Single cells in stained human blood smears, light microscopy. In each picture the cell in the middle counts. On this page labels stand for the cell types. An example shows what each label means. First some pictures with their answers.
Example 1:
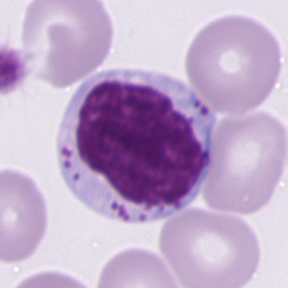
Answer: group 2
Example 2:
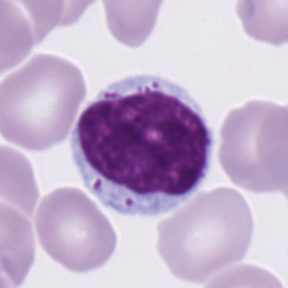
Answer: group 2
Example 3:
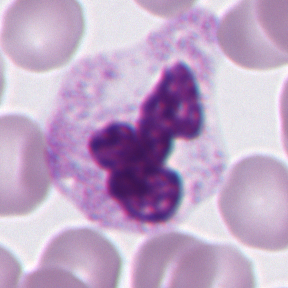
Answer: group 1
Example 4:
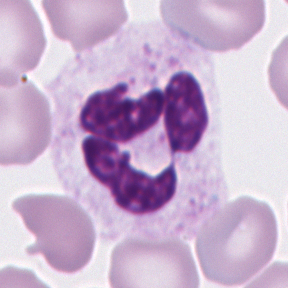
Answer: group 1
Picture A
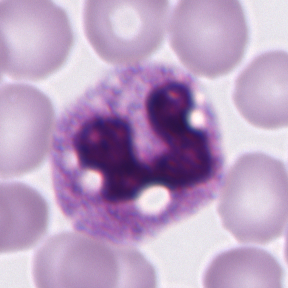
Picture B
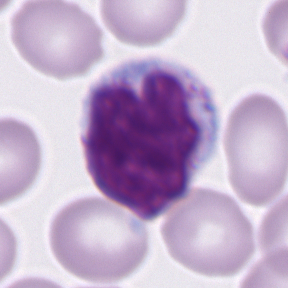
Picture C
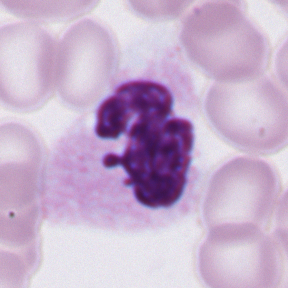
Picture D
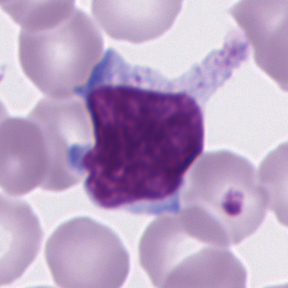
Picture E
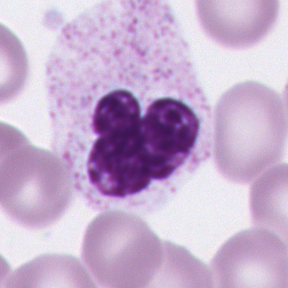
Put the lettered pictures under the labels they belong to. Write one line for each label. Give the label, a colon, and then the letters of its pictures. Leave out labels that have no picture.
group 2: B, D
group 1: A, C, E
